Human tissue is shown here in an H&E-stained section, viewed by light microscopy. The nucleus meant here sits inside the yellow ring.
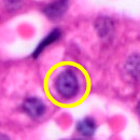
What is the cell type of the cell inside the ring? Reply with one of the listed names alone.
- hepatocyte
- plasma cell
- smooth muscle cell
hepatocyte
